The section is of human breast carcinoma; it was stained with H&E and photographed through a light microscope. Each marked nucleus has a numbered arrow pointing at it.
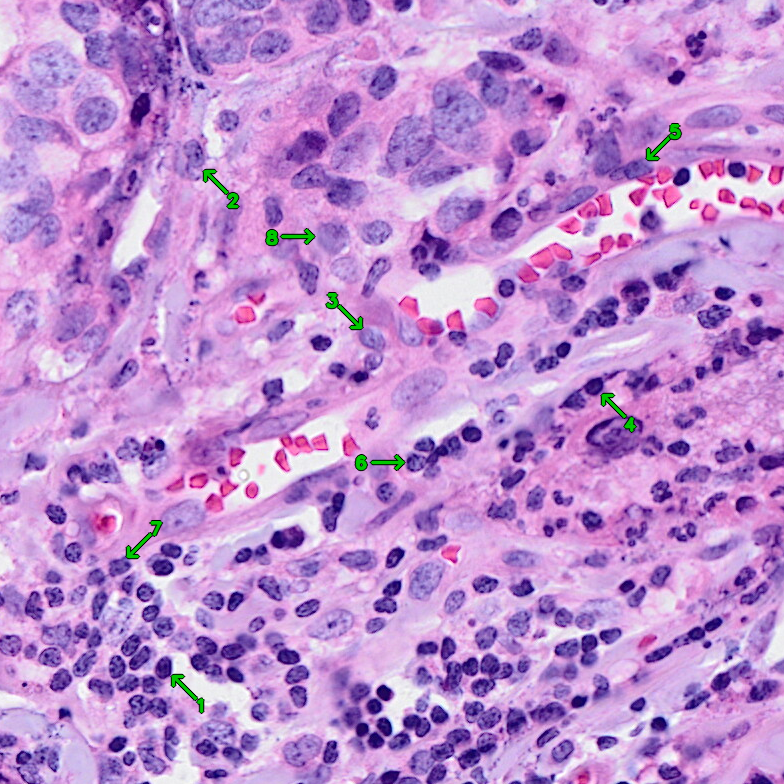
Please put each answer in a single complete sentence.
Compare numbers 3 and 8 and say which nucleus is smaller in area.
Number 3 is smaller, since number 8 takes up about 2 times as much area.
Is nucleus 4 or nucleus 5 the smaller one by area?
With nucleus 5 about 1.5 times its size, nucleus 4 is the smaller of the two.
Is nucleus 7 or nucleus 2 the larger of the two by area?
Nucleus 2 covers more area, about 1.5 times as much as nucleus 7.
